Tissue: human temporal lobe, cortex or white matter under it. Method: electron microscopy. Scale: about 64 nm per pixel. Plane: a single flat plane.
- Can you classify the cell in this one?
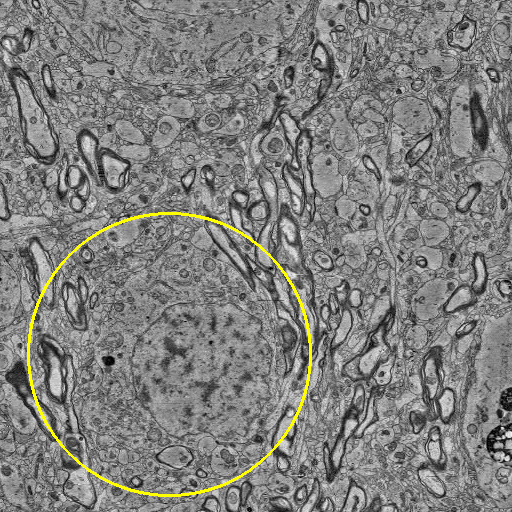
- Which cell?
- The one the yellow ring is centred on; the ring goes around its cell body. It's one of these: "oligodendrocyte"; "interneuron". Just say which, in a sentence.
The cell body in the ring belongs to an interneuron.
